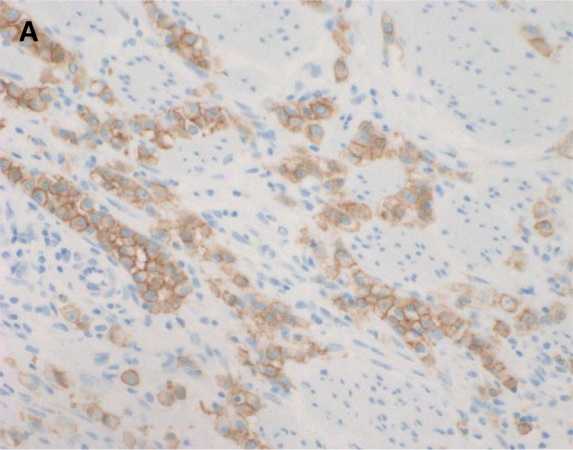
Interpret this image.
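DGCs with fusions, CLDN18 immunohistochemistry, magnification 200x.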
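This section shows tumor cells infiltrating a pale fibrous stroma in small clusters, cords and single cells. The tumor cells are rounded to polygonal with blue nuclei and moderate cytoplasm. A brown stain outlines their cell borders, in some cells around the whole circumference and in others only along part of it. The stroma between the clusters contains elongated, spindle-shaped nuclei that are unstained. The tumor cells do not form well-defined glands but grow diffusely through the stroma.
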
